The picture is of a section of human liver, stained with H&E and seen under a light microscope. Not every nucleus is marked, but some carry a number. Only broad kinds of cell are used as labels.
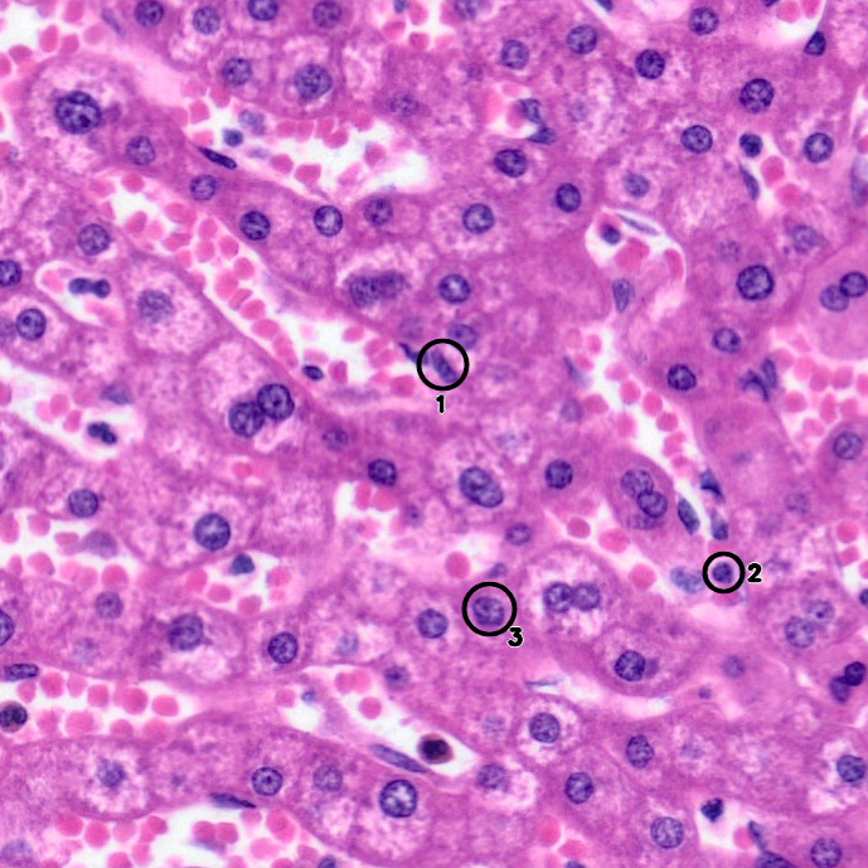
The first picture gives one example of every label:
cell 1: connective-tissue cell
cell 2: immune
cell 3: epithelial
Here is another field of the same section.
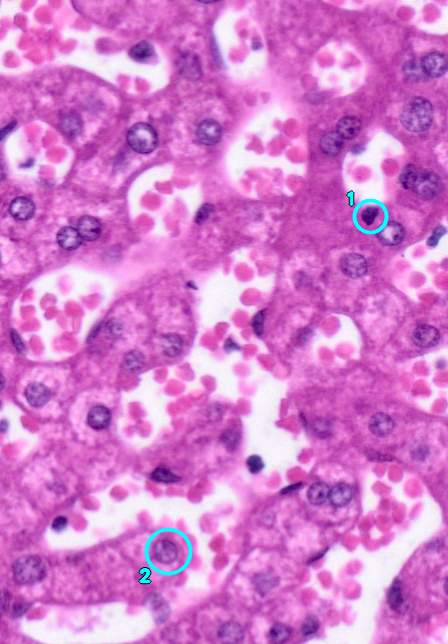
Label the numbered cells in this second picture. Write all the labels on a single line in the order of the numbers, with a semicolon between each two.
connective-tissue cell; epithelial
